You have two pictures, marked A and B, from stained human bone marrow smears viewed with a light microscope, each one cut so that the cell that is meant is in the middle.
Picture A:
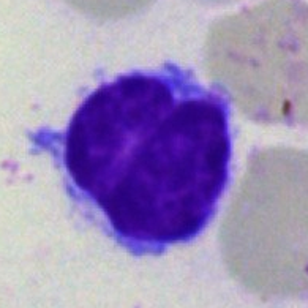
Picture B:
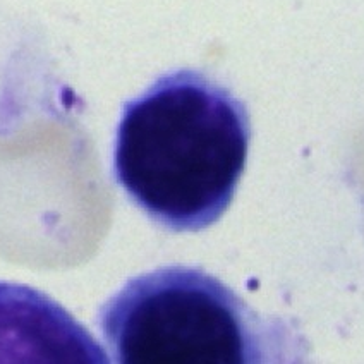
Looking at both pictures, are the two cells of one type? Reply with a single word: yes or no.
yes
